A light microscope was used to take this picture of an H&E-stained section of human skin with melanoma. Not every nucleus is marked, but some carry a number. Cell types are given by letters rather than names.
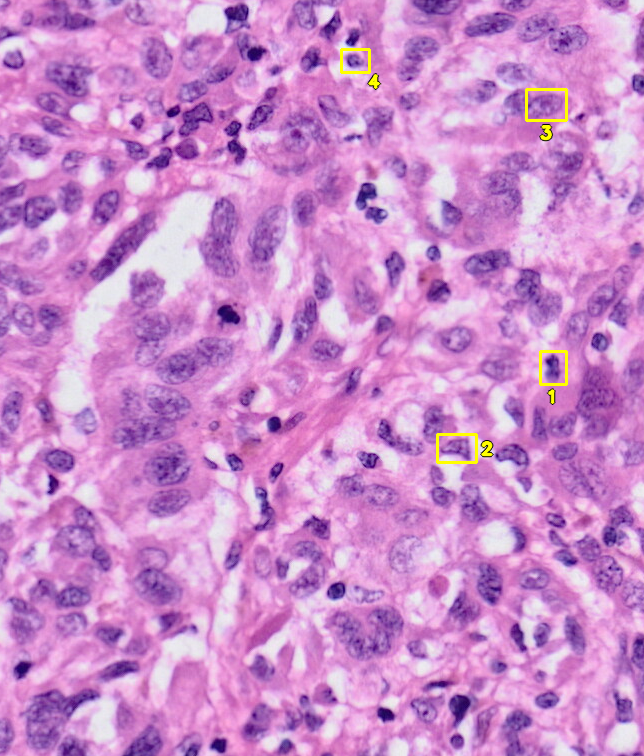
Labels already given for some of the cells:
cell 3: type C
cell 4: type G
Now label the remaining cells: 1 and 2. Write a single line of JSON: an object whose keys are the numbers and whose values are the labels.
{"1": "type G", "2": "type C"}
